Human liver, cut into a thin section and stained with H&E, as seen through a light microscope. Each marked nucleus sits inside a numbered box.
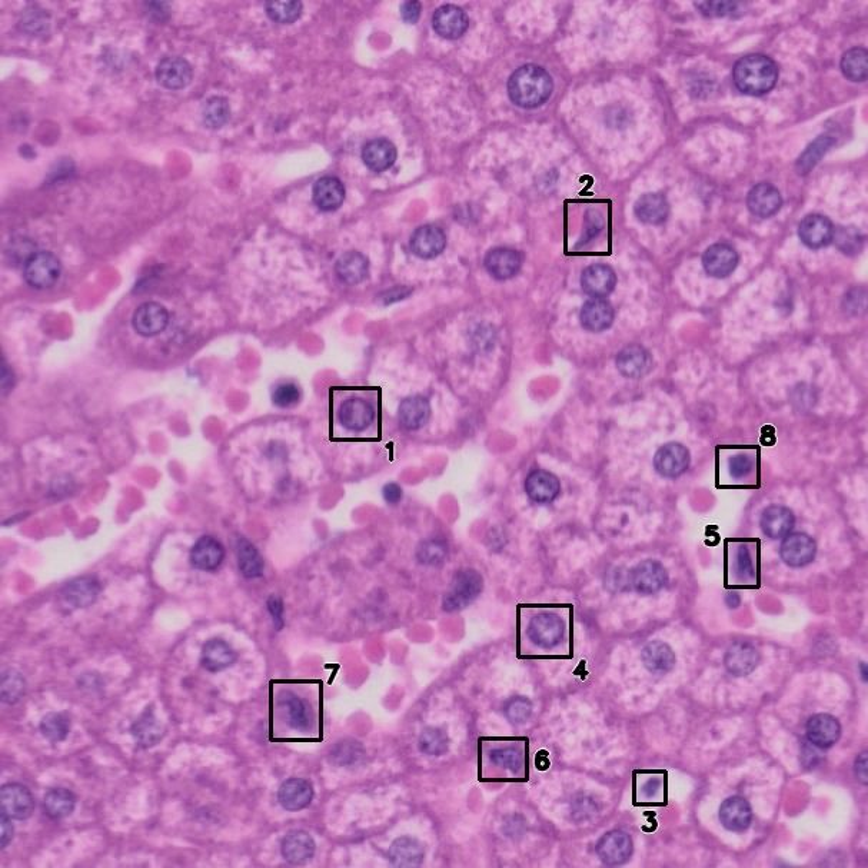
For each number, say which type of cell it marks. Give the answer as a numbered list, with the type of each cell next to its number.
1. hepatocyte
2. endothelial cell
3. lymphocyte
4. hepatocyte
5. fibroblast or stellate cell
6. endothelial cell
7. Kupffer cell
8. lymphocyte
